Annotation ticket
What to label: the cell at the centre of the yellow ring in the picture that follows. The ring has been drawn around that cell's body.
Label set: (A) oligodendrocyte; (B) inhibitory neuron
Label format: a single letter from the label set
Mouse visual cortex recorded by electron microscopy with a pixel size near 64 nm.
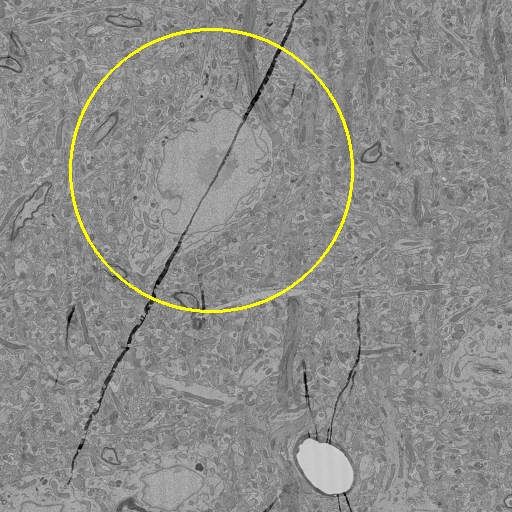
B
